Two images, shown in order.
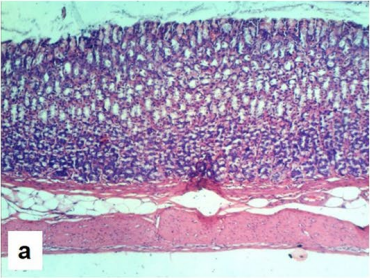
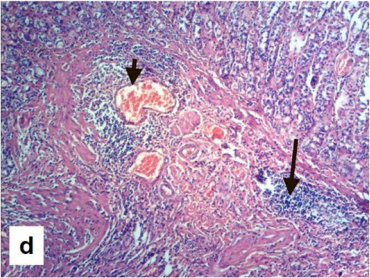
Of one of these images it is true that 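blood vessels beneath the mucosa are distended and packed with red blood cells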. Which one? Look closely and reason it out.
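The second image. Second image: several dilated vessels filled with bright red blood cells. First image: orderly gastric layers without distended red-filled vessels.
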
